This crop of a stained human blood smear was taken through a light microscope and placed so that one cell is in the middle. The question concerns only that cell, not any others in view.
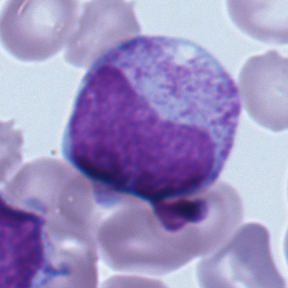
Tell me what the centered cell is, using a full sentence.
The cell nearest the centre of this crop is a myelocyte.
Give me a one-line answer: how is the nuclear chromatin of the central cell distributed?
The chromatin is fine, with no coarse clumping anywhere.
